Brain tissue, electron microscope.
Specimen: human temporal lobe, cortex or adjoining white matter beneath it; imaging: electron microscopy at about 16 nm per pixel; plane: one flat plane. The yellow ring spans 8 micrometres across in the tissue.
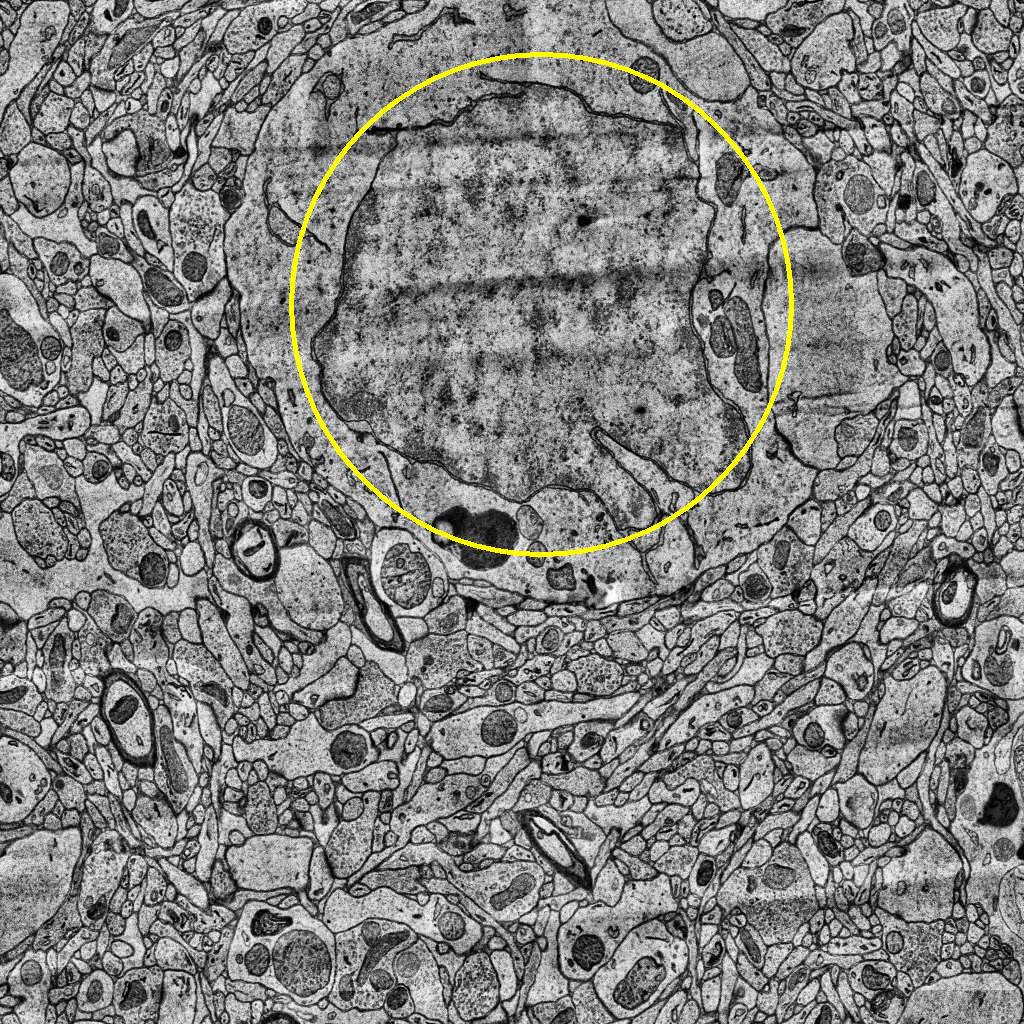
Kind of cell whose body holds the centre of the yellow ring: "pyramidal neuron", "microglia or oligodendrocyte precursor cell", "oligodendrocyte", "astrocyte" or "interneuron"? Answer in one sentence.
The ring's centre falls on an interneuron.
